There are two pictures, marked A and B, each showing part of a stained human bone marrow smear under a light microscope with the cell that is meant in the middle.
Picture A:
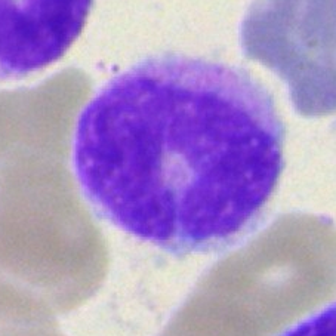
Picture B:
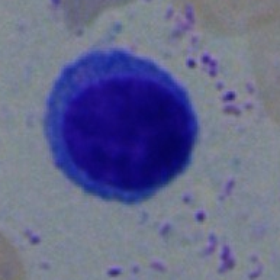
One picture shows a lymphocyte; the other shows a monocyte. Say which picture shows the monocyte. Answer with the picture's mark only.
A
